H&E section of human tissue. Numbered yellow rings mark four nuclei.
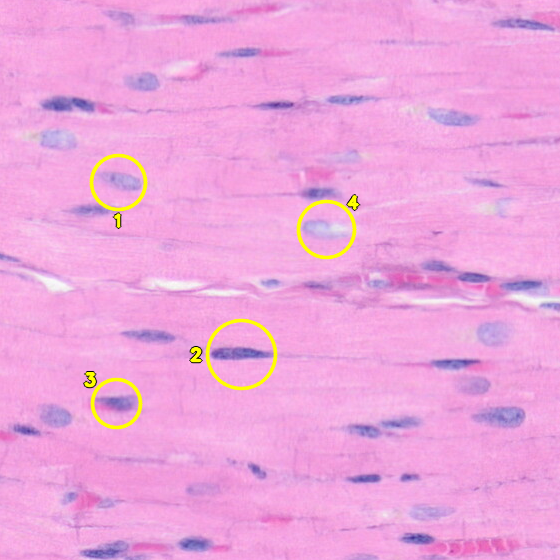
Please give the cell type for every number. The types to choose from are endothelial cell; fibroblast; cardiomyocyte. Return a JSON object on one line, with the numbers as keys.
{"1": "cardiomyocyte", "2": "endothelial cell", "3": "endothelial cell", "4": "cardiomyocyte"}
